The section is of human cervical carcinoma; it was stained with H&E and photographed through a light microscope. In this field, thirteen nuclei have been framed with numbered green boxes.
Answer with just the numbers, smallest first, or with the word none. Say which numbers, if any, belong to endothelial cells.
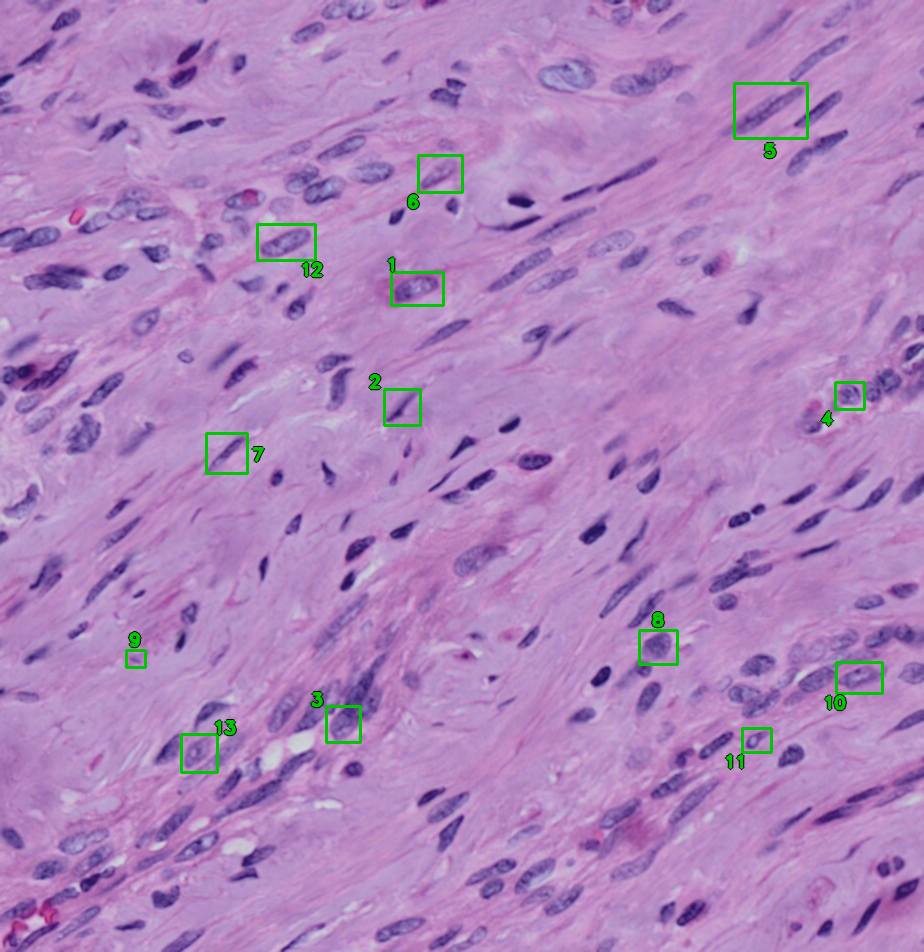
3, 4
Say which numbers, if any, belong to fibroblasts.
2, 5, 7, 8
